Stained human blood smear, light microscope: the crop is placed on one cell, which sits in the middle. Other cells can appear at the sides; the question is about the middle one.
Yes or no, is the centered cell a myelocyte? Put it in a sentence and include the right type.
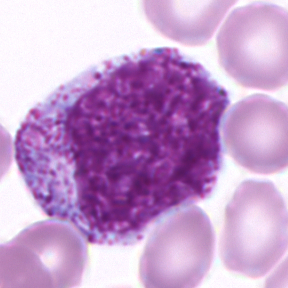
Yes, the one cell at the centre is a myelocyte.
